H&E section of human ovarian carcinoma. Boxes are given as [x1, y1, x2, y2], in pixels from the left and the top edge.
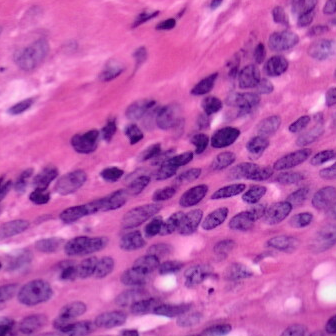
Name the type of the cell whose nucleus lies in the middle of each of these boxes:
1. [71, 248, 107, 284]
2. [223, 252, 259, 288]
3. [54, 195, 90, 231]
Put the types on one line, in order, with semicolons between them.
carcinoma cell; endothelial cell; carcinoma cell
